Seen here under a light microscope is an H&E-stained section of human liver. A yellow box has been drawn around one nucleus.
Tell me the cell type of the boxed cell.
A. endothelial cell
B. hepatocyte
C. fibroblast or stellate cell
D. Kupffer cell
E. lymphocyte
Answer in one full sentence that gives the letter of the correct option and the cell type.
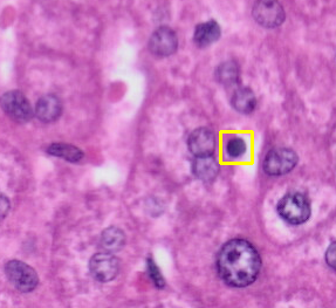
Under option E, the boxed cell is a lymphocyte, which is the correct identification.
